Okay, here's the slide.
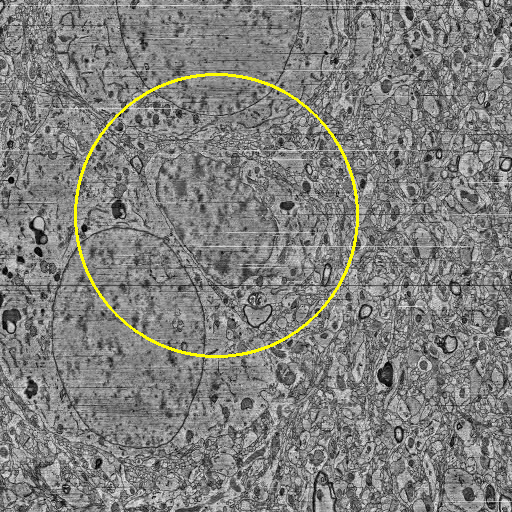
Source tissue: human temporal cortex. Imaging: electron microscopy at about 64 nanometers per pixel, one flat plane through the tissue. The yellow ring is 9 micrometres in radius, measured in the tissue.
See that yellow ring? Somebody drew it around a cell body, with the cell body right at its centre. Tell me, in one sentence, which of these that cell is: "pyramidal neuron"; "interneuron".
The cell in the middle of the ring is an interneuron.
